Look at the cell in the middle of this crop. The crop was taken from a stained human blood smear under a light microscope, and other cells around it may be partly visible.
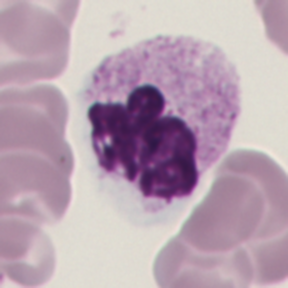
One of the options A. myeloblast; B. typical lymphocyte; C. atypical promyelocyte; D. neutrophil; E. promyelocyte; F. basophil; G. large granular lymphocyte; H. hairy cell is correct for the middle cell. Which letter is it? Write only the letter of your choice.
D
